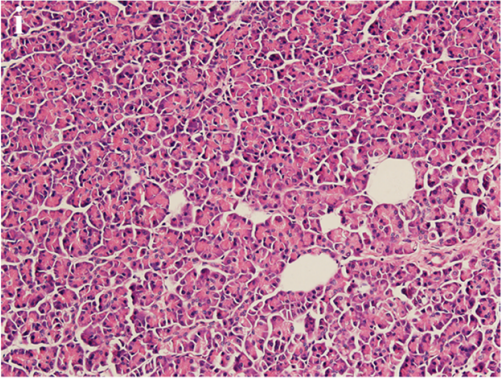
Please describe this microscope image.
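This section of pancreas shows exocrine tissue made of tightly packed acini. Each acinus is a small cluster of pyramidal cells with round purple nuclei set toward the base and pink, finely granular cytoplasm toward the centre. The acini lie close together, separated only by thin pale clefts, so the tissue looks compact and uniform across the field. A few round, clear spaces of different sizes interrupt the tissue, most likely small ducts or vessels cut across. There are no broad pale spaces between lobules and no obvious loose collections of small dark cells.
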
